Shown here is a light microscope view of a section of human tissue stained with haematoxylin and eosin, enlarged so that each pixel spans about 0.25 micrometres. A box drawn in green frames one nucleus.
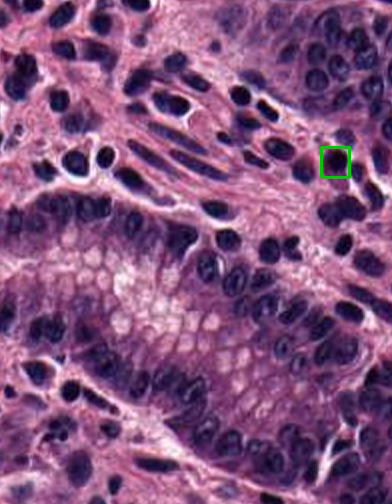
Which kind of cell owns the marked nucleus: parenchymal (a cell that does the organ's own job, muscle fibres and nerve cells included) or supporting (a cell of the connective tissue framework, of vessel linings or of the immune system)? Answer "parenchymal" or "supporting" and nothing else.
supporting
